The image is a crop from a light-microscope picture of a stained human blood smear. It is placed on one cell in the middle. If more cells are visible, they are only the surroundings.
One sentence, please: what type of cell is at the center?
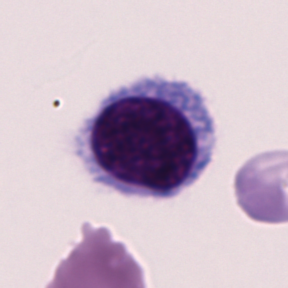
The cell of interest, located centrally, is a hairy cell.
